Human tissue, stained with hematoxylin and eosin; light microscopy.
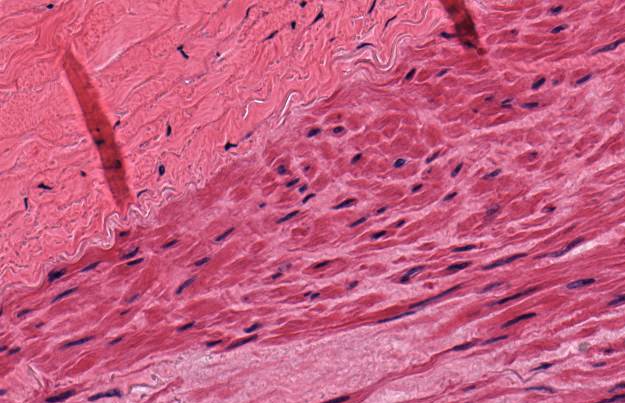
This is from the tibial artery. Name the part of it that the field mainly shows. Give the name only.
tunica media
